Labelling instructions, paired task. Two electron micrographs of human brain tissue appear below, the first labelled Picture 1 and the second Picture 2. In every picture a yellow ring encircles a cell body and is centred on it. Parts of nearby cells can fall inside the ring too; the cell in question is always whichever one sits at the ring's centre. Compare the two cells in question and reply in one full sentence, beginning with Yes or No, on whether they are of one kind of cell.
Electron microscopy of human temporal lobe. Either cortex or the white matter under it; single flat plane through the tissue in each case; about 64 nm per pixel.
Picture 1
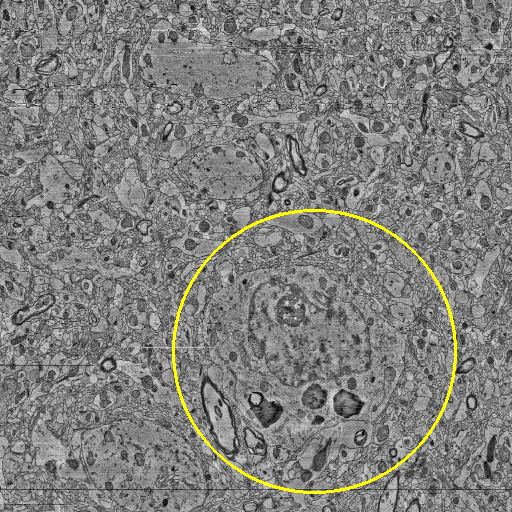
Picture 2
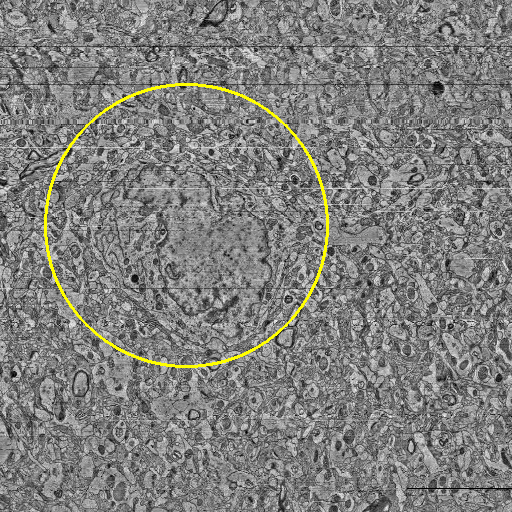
Yes, the two cells at the ring centres in Picture 1 and Picture 2 are of one kind.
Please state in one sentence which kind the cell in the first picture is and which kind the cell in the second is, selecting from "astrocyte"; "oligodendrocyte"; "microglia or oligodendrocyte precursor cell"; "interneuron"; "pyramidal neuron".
Both pictures show an interneuron at the centre of the ring.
